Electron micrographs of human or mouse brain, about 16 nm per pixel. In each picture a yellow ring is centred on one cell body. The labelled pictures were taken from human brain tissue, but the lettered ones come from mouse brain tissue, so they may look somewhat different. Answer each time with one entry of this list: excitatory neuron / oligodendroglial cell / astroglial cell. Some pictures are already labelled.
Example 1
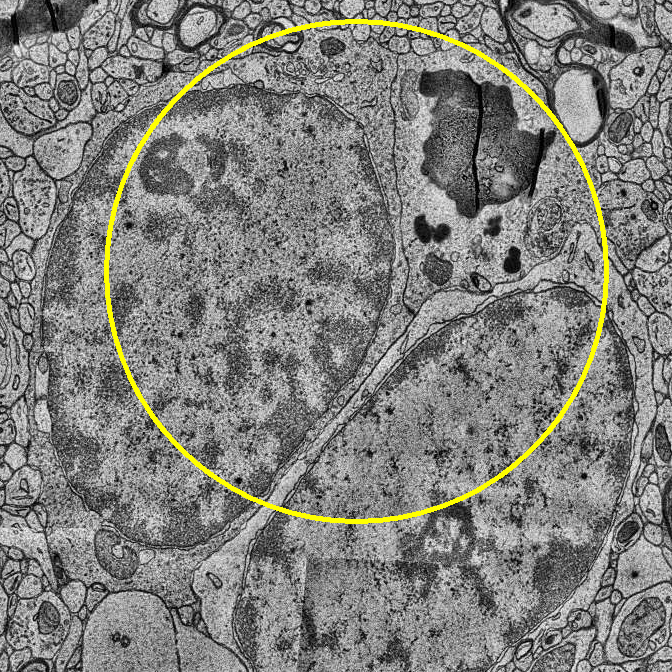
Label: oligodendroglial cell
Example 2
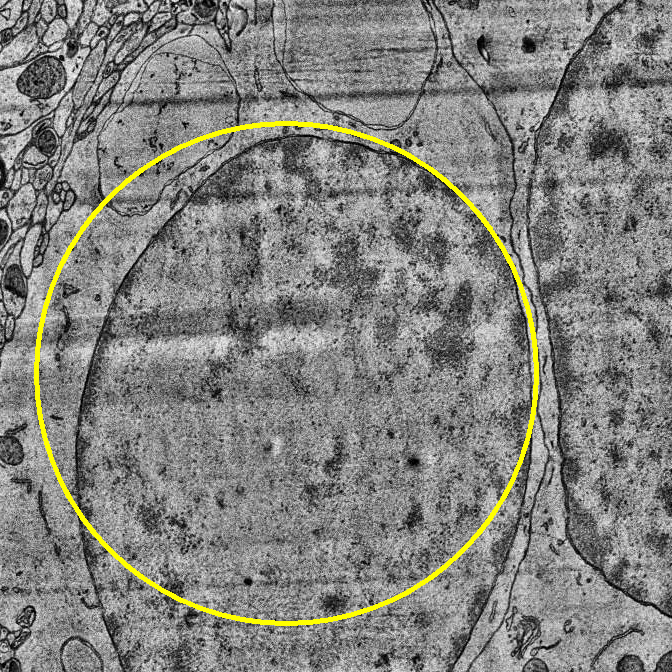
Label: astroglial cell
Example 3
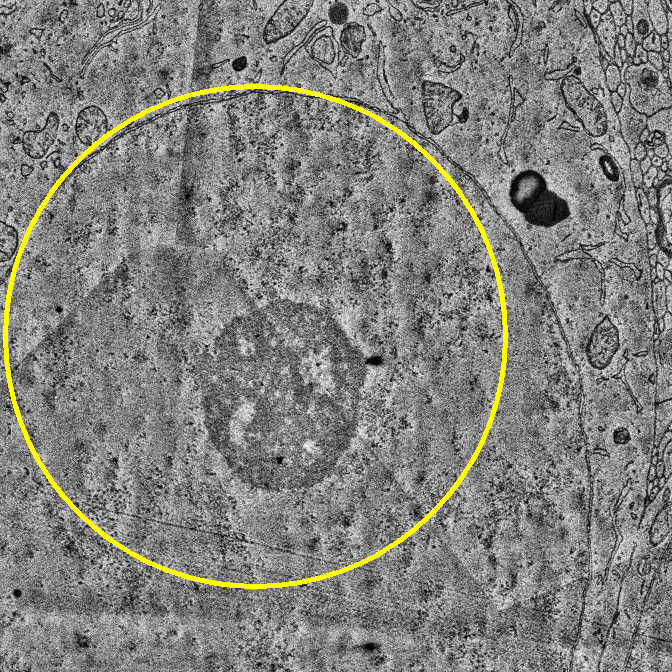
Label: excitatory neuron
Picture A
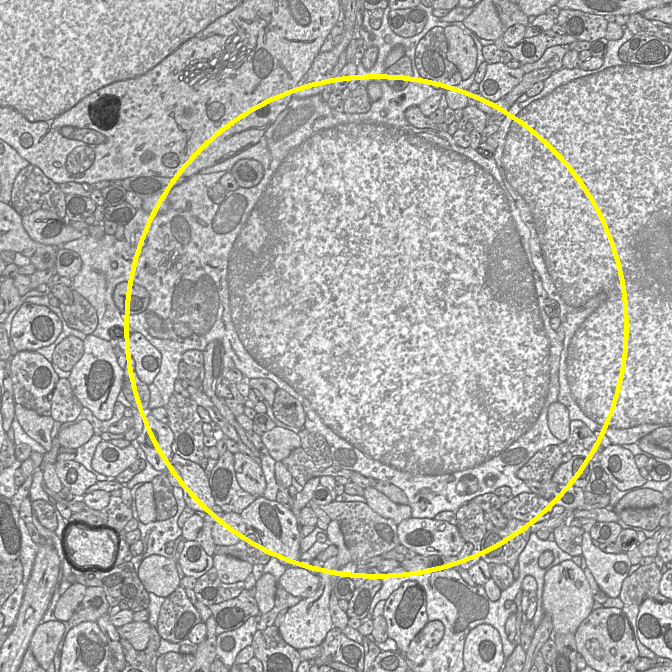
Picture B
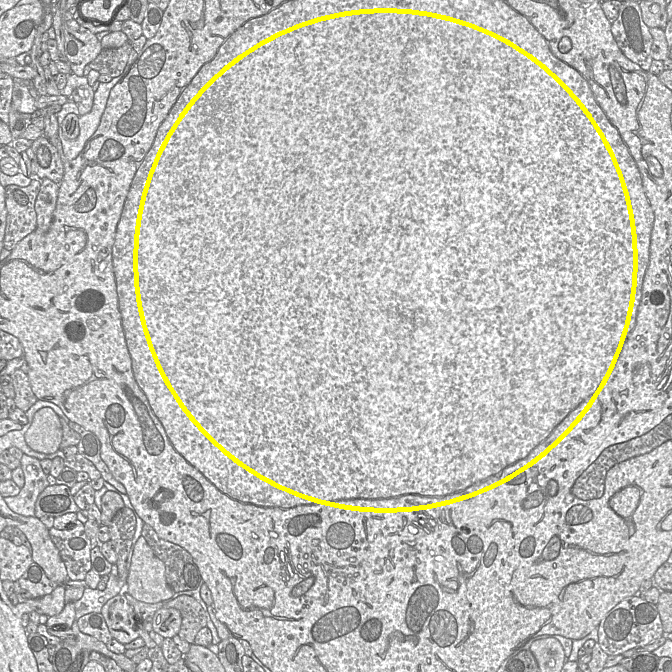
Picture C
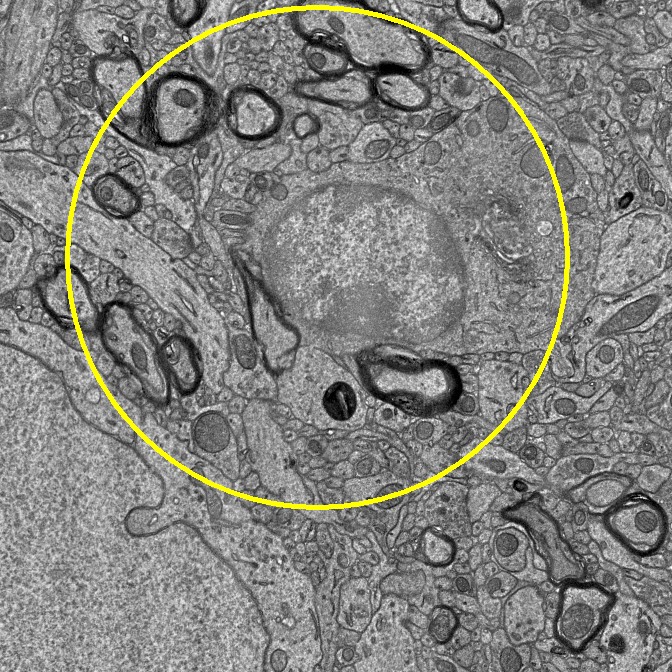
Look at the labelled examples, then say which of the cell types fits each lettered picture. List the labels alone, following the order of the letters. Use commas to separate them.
astroglial cell, excitatory neuron, oligodendroglial cell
